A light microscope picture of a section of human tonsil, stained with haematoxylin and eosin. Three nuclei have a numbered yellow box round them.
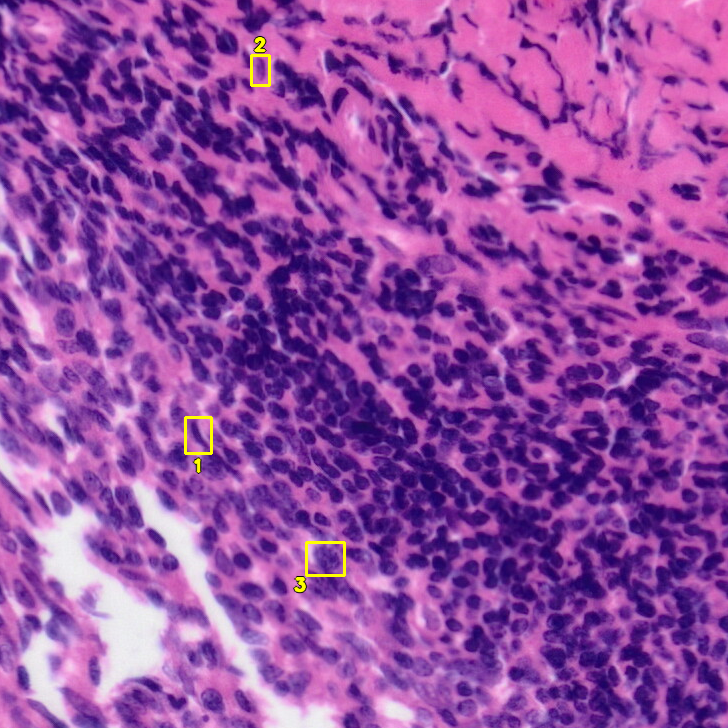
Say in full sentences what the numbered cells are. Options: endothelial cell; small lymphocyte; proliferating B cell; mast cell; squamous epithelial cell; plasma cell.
Cells 1 and 3 are proliferating B cells. Cell 2 is an endothelial cell.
